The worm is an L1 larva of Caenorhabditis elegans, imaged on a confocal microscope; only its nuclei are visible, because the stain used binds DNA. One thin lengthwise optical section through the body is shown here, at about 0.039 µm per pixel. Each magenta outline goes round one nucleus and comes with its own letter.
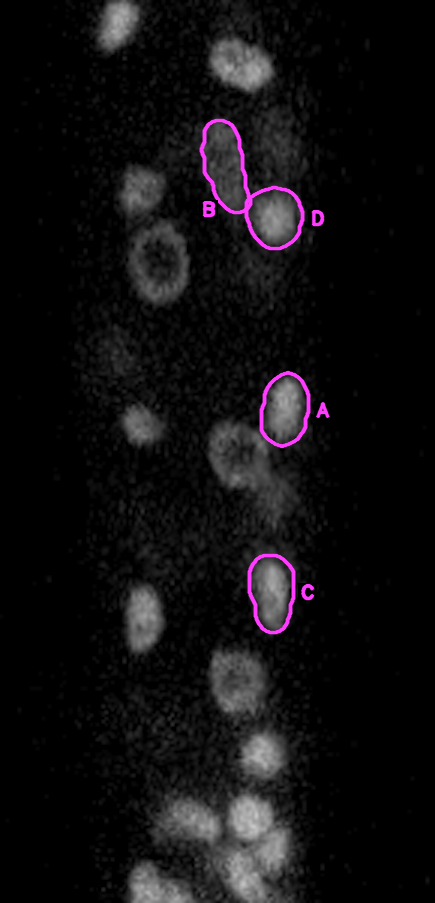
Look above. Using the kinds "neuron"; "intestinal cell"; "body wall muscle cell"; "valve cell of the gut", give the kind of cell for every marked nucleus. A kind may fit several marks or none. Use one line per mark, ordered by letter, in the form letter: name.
A: neuron
B: intestinal cell
C: body wall muscle cell
D: neuron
